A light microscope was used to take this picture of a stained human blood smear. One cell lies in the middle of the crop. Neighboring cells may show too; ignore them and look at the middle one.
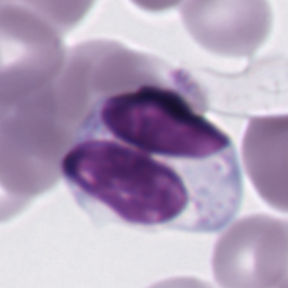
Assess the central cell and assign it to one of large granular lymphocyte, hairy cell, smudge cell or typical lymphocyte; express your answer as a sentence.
The cell found in the middle of this crop is a large granular lymphocyte.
